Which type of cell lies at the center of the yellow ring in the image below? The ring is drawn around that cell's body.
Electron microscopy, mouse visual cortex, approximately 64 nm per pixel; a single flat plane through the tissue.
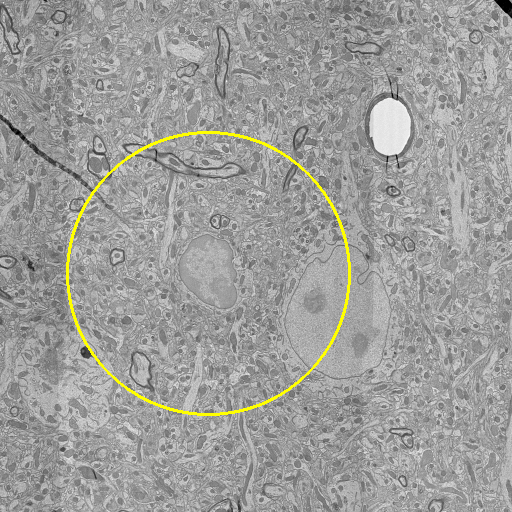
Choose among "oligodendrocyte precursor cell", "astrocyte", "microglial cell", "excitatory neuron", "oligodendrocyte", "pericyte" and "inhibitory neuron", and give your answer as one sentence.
The cell body at the center belongs to a microglial cell.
